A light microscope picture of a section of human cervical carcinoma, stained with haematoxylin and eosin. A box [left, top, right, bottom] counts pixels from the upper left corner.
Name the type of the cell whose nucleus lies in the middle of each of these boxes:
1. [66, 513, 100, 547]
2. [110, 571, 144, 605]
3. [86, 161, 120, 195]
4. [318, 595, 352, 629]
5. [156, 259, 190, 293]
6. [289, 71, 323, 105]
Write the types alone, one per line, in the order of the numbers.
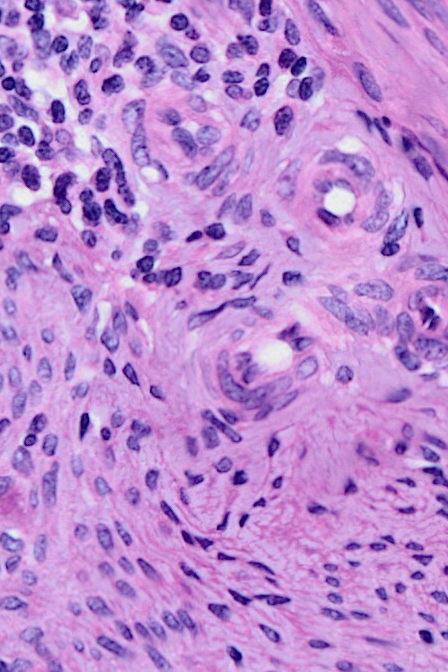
smooth muscle cell
smooth muscle cell
lymphocyte
smooth muscle cell
lymphocyte
lymphocyte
